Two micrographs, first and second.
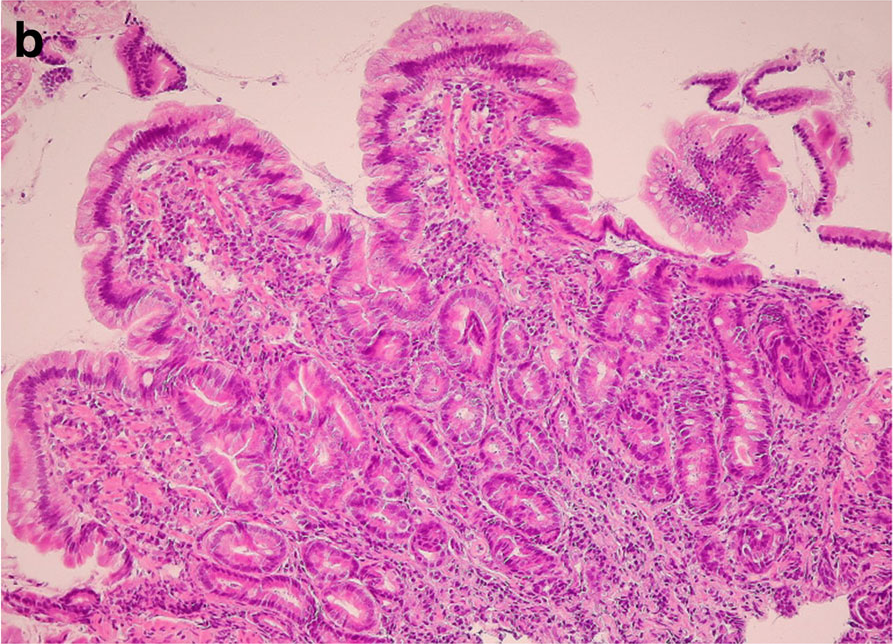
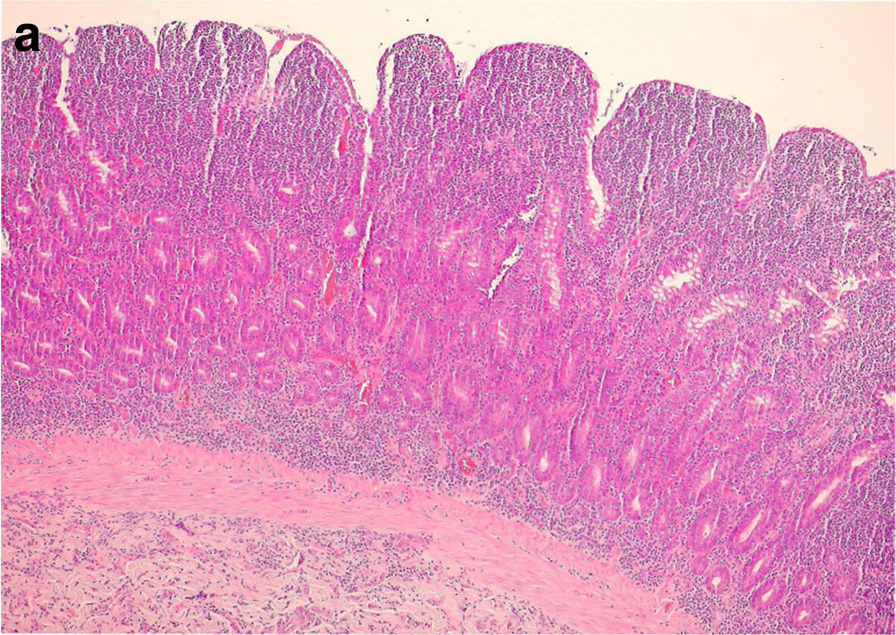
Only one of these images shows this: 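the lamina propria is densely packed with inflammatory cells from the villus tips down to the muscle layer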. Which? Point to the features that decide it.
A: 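The second image. First image: inflammatory cells are scattered in the lamina propria, with stroma visible between them. Second image: the villi and the mucosa down to the pink muscle band are filled with a dense sheet of dark small round cells.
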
